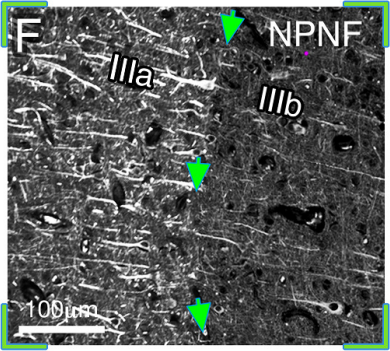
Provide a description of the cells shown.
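Numerous long, straight, bright fibres run roughly parallel to one another in a single oblique direction, consistent with the radial course of apical dendrites. Scattered small bright profiles between them correspond to cell bodies and dendrite segments cut at an angle. The stained fibres are dense in the left part of the field and become clearly fewer and fainter towards the right, giving a fairly sharp change in density partway across. Dark round and oval holes scattered through the tissue are vessel lumina and unstained cell profiles.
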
